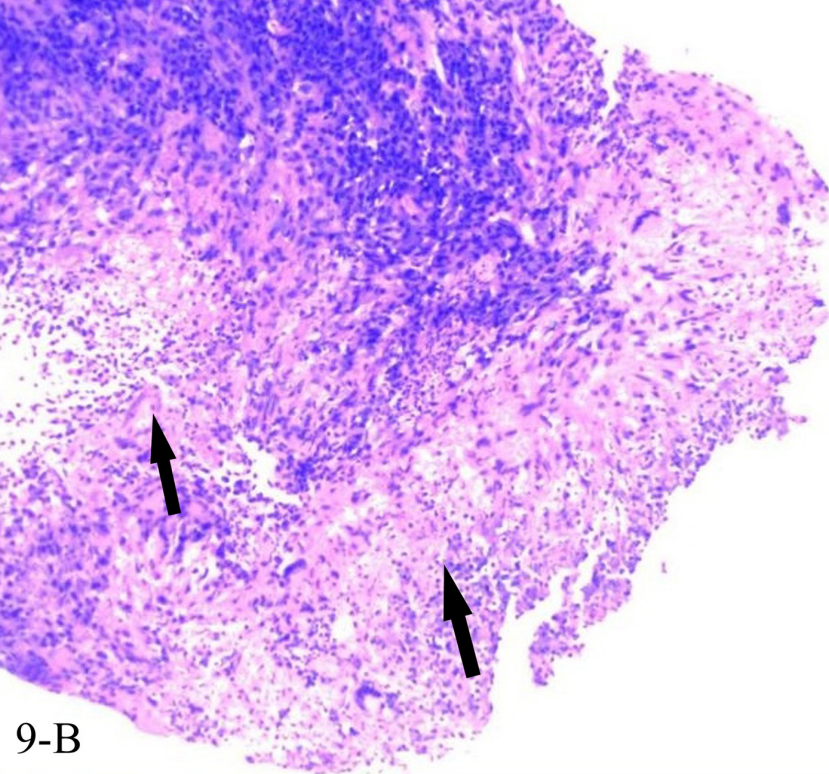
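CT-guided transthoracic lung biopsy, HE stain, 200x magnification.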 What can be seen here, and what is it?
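A dense band of small, dark-blue inflammatory nuclei runs across the upper part of the fragment. Toward the lower half the tissue turns paler and pinker. There, loosely arranged elongated cells with pink cytoplasm surround washed-out, poorly cellular areas sprinkled with nuclear debris. These pale zones are the necrotic parts of the lesion. The contrast between the crowded blue cellular areas and the pale pink necrotic patches gives the fragment a mottled look.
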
